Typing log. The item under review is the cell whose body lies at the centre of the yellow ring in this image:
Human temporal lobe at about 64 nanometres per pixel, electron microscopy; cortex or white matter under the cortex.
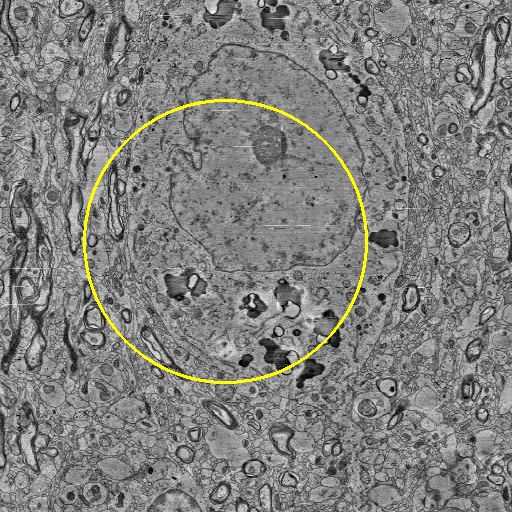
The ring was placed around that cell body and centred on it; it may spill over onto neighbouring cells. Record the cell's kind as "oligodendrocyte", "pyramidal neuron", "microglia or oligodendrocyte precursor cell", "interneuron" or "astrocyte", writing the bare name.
pyramidal neuron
